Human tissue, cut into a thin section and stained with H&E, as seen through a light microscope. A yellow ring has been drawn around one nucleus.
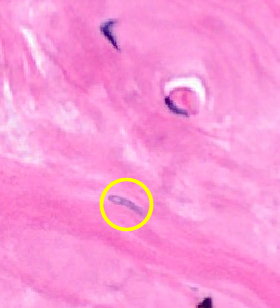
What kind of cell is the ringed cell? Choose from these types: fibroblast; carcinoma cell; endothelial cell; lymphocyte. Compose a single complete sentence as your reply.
To be brief about it, the ringed cell is a fibroblast.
